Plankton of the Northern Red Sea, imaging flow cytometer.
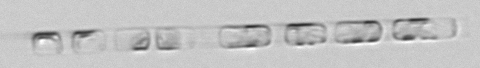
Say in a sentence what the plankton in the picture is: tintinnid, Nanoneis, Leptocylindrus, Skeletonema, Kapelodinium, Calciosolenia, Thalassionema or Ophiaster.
This is Skeletonema.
